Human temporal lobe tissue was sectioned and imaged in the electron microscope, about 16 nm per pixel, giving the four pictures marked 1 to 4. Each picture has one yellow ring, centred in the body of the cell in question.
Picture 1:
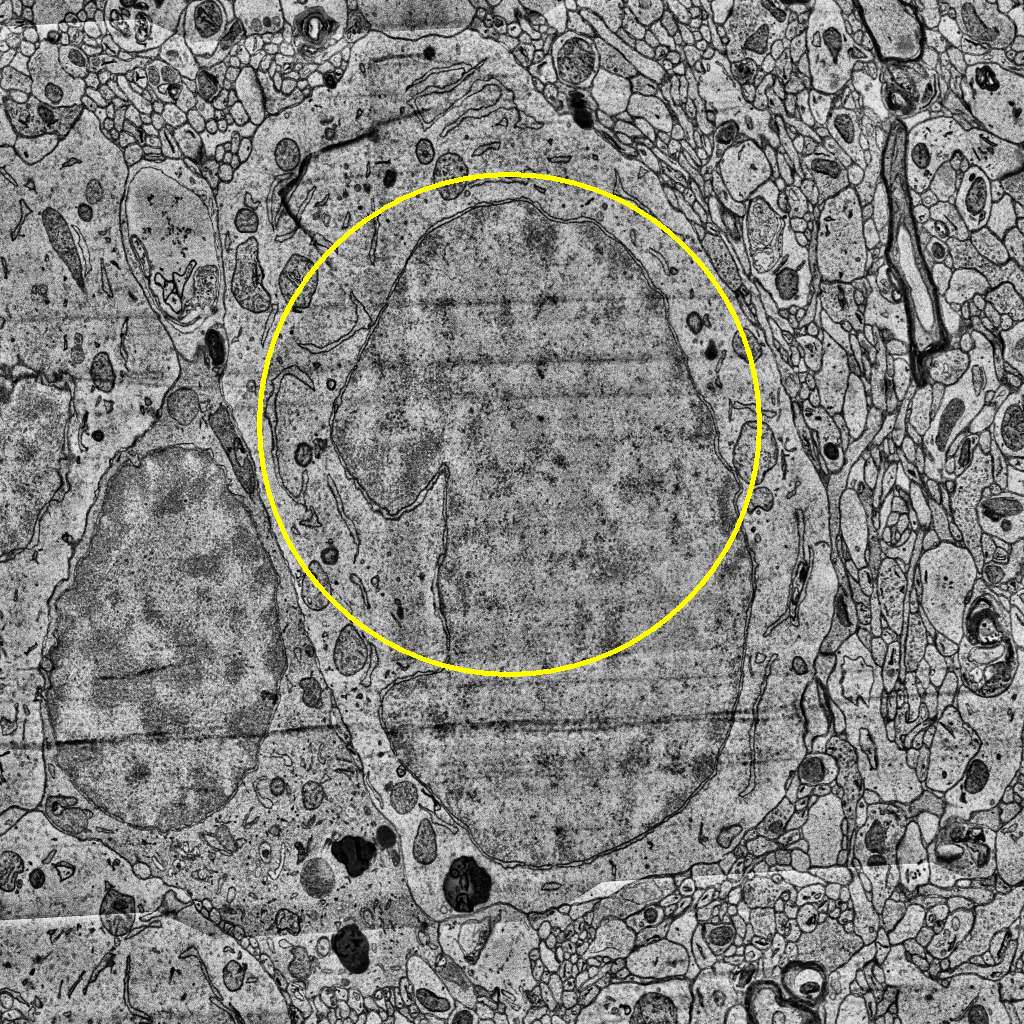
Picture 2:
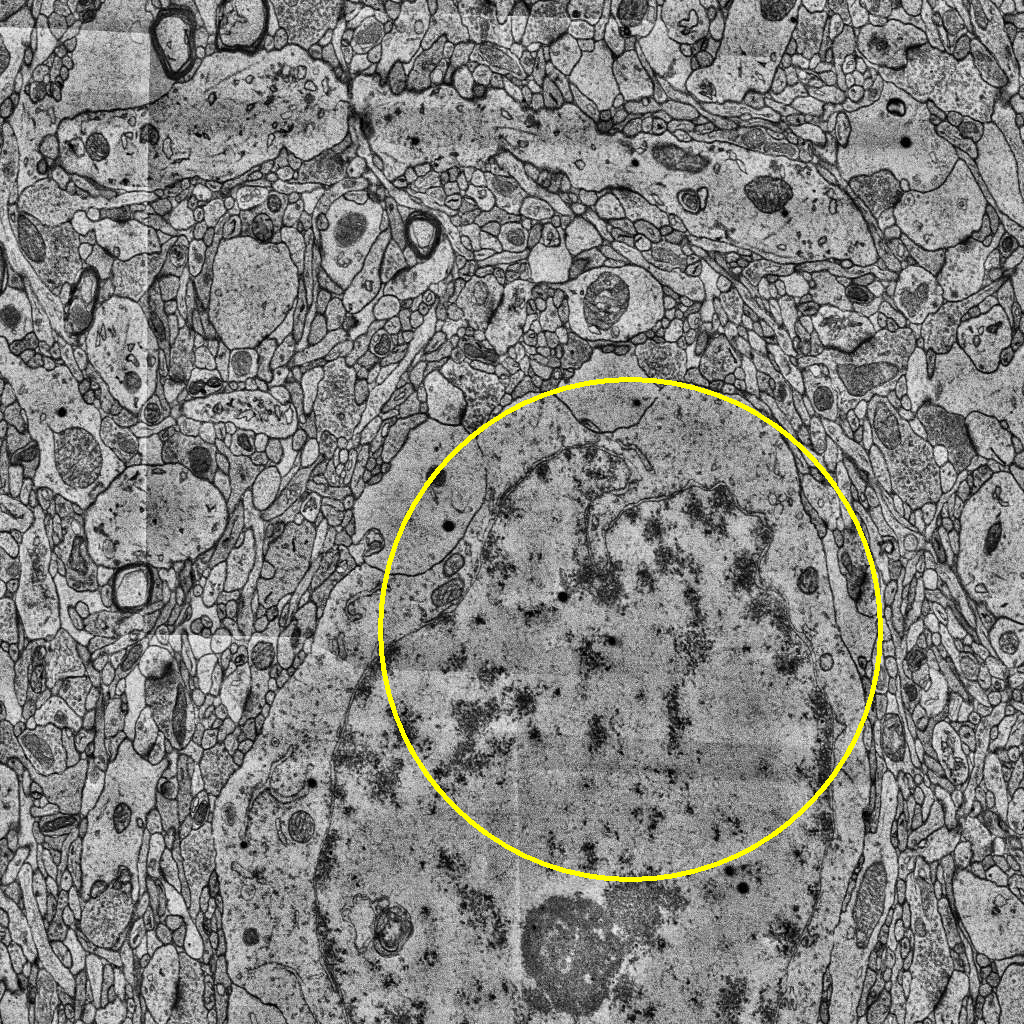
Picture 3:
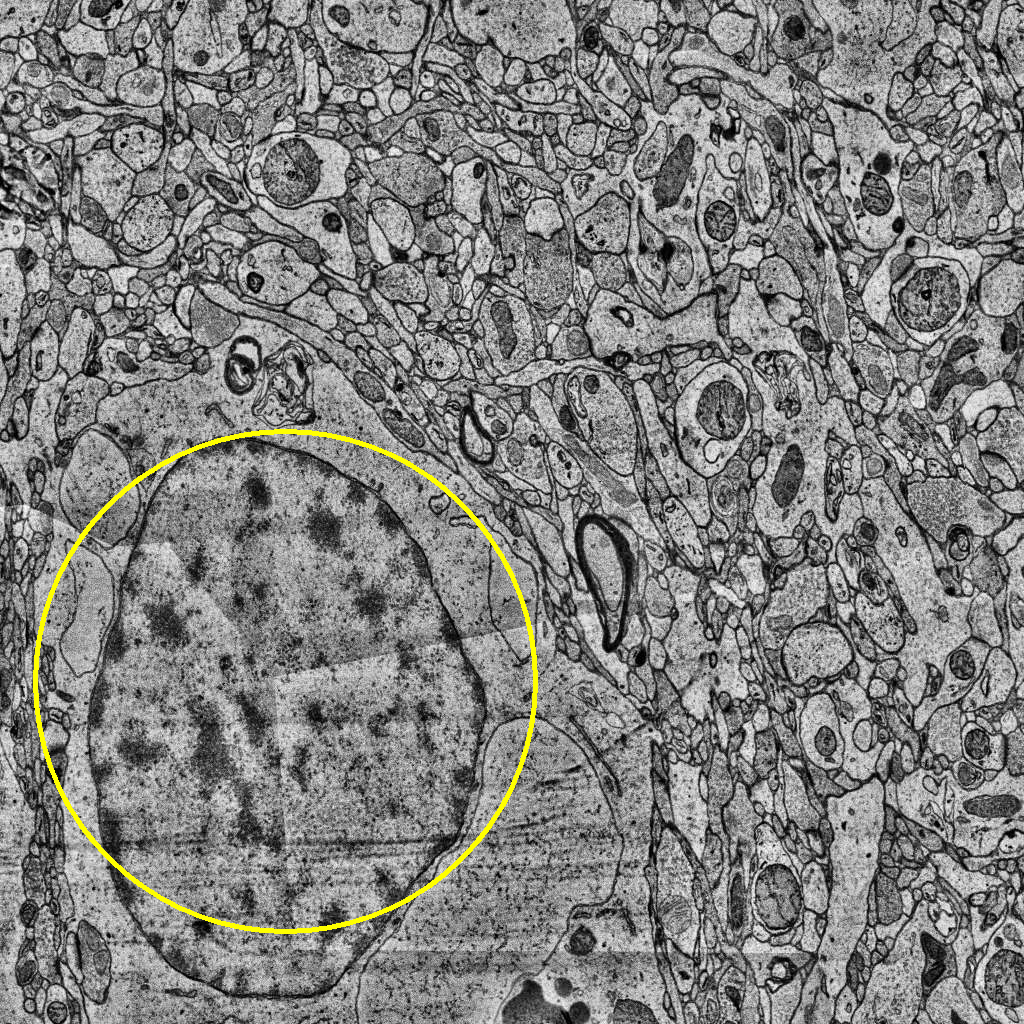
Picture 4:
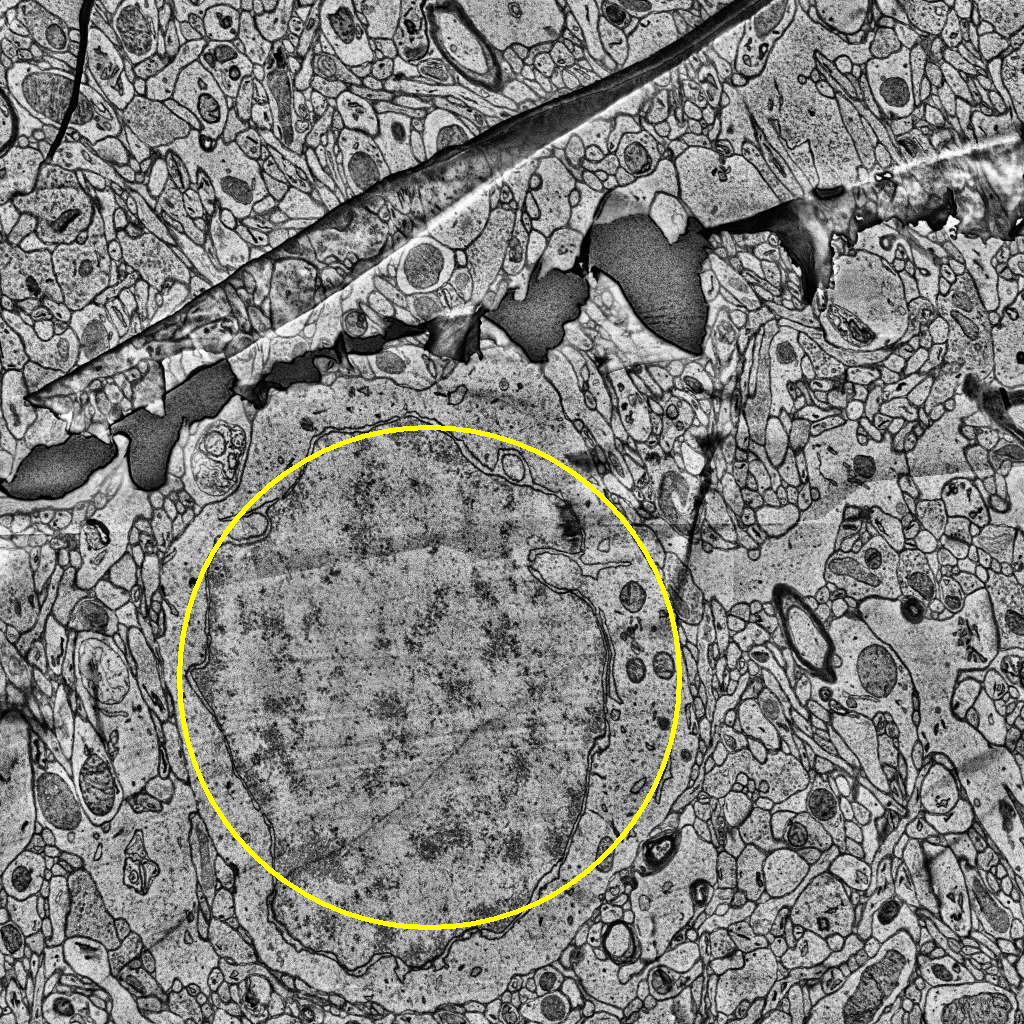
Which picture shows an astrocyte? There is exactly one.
Picture 3 is the one that shows the astrocyte.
